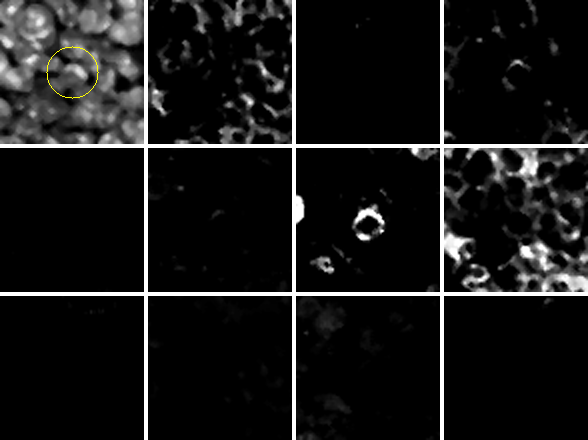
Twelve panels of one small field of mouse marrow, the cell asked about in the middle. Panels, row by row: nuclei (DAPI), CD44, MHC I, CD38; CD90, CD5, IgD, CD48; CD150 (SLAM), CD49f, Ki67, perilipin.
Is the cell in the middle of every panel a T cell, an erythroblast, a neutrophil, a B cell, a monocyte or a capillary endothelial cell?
It is a B cell.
